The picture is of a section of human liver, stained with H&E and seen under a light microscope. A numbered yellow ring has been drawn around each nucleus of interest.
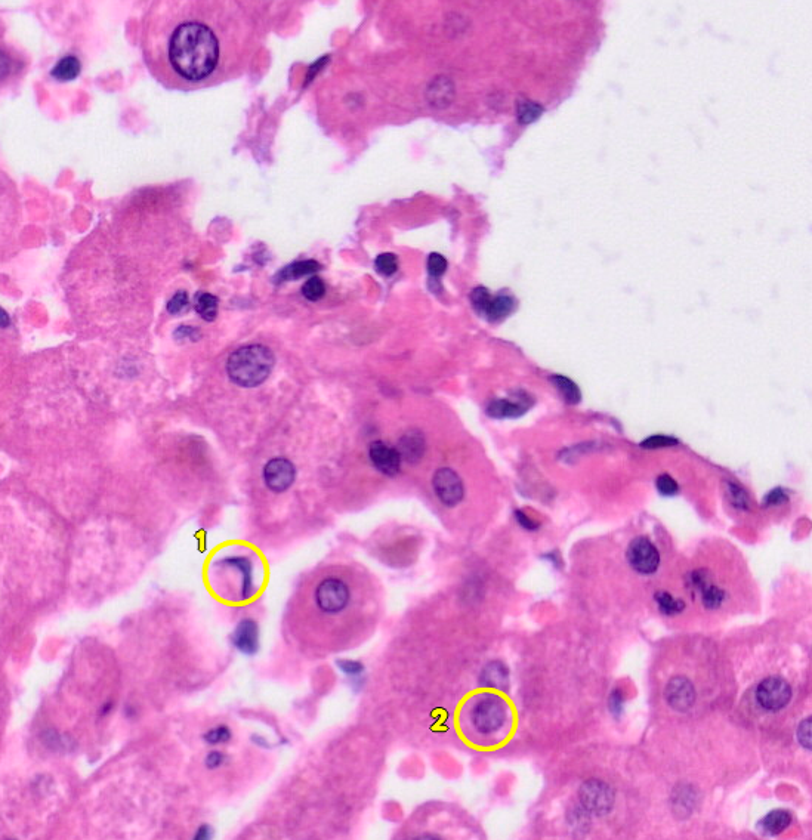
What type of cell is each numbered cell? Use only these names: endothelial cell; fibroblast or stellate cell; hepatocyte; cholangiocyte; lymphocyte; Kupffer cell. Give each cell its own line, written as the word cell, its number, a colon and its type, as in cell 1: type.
cell 1: fibroblast or stellate cell
cell 2: hepatocyte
